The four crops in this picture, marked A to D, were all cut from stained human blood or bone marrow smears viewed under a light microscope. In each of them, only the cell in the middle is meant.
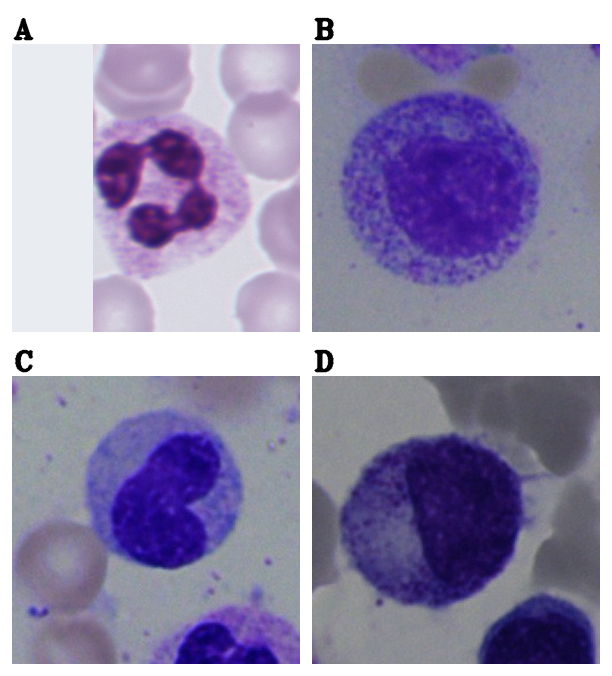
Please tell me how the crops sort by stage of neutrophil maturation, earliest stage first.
D, B, C, A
